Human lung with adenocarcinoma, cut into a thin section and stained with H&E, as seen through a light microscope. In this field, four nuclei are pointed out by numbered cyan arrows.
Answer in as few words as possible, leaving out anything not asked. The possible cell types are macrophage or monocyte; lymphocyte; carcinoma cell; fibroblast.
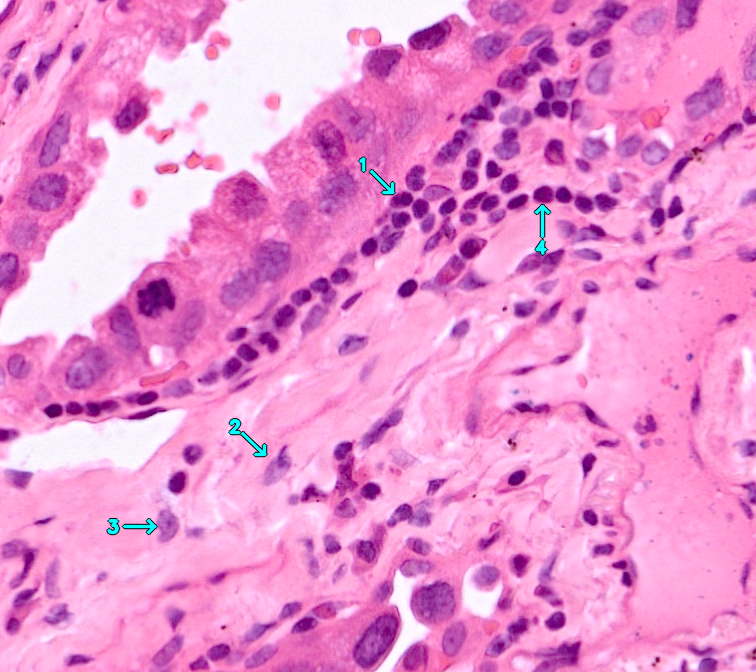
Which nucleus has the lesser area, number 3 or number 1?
1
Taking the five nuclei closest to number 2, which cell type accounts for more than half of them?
macrophage or monocyte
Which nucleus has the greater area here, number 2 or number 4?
2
